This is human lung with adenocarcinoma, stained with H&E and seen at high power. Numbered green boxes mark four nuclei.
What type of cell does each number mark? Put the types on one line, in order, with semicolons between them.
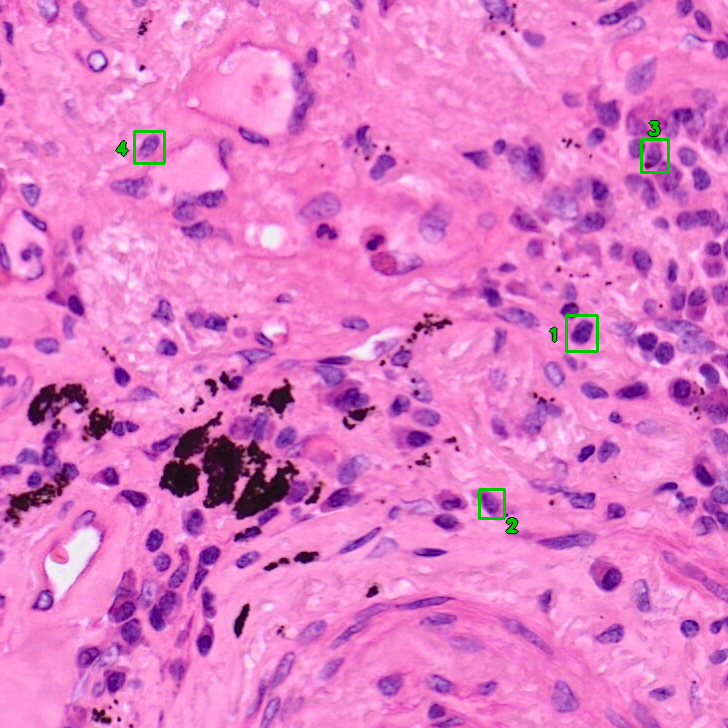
lymphocyte; plasma cell; lymphocyte; mast cell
